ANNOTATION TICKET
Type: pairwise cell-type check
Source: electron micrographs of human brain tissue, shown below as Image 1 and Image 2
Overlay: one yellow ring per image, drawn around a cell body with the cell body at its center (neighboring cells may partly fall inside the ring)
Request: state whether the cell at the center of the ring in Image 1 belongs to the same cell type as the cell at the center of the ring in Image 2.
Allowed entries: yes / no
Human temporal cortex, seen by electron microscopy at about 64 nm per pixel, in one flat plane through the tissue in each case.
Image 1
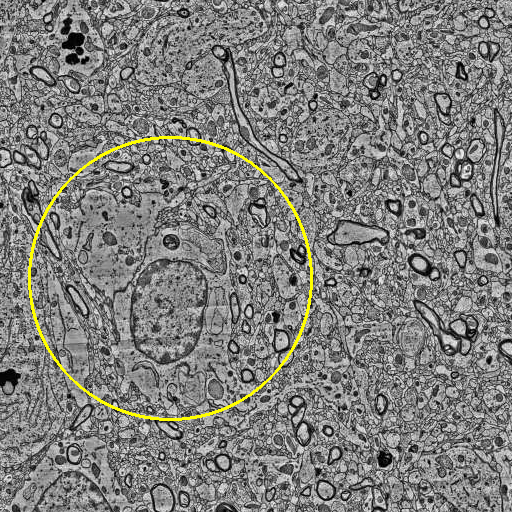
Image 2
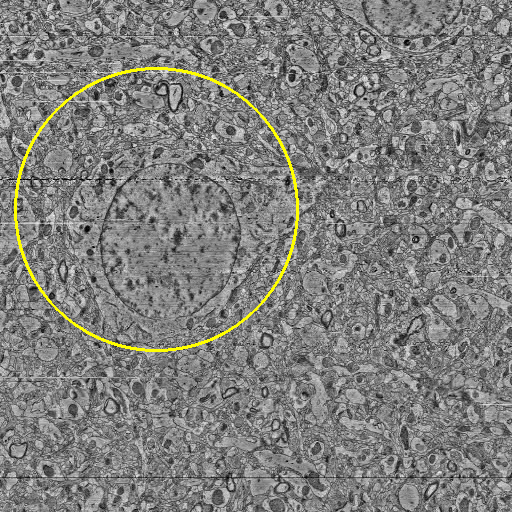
no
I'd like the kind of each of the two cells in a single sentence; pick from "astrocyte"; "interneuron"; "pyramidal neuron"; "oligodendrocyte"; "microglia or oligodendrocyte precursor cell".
The first ring marks an astrocyte, and the second ring marks a pyramidal neuron.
